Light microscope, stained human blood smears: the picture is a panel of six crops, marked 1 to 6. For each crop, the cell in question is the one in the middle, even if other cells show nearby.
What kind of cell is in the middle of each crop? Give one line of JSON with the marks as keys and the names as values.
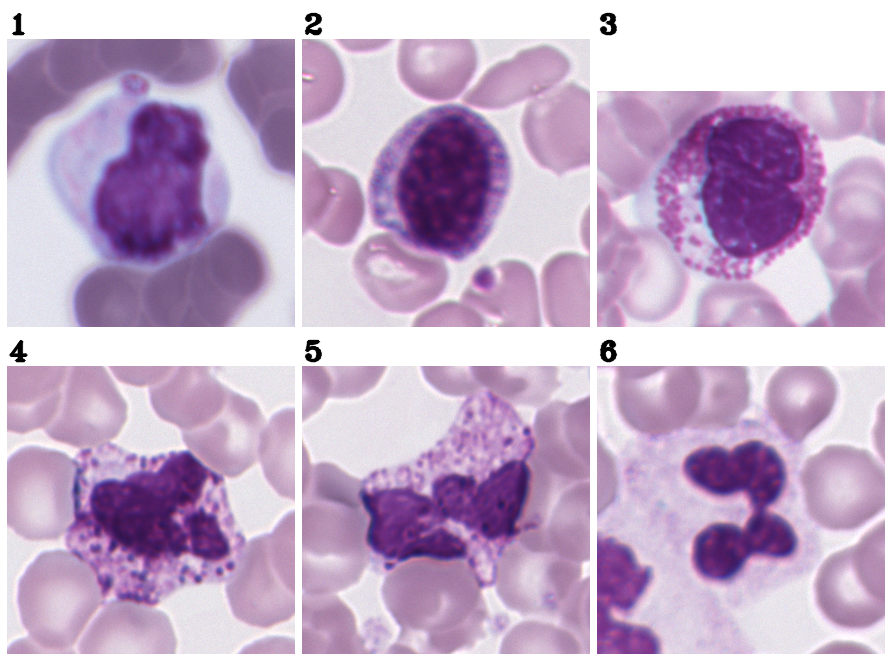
{"1": "metamyelocyte", "2": "metamyelocyte", "3": "eosinophil", "4": "basophil", "5": "basophil", "6": "segmented neutrophil"}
